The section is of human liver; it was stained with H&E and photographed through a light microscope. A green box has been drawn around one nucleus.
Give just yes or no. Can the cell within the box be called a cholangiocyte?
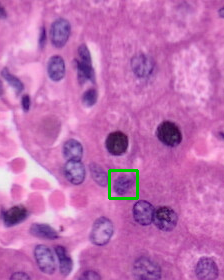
yes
